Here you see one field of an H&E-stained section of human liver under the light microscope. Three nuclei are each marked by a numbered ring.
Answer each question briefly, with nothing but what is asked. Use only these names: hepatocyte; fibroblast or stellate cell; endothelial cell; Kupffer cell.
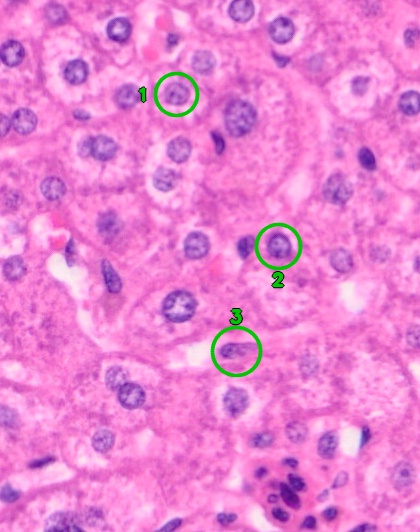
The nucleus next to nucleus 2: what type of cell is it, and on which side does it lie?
an endothelial cell, to the left of nucleus 2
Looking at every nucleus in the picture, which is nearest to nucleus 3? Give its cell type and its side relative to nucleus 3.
a hepatocyte, below nucleus 3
